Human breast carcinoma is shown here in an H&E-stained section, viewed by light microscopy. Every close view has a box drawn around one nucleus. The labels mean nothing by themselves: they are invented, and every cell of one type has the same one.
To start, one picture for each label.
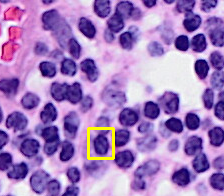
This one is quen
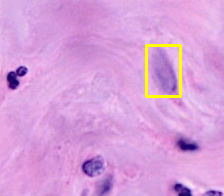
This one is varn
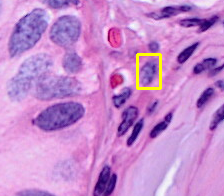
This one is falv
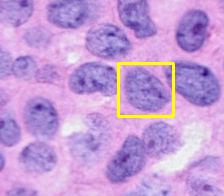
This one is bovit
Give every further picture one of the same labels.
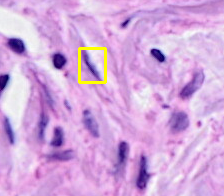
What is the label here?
varn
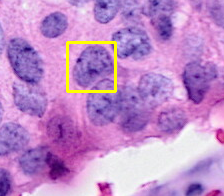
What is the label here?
bovit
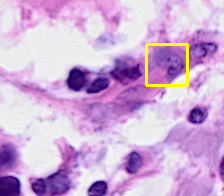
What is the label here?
falv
